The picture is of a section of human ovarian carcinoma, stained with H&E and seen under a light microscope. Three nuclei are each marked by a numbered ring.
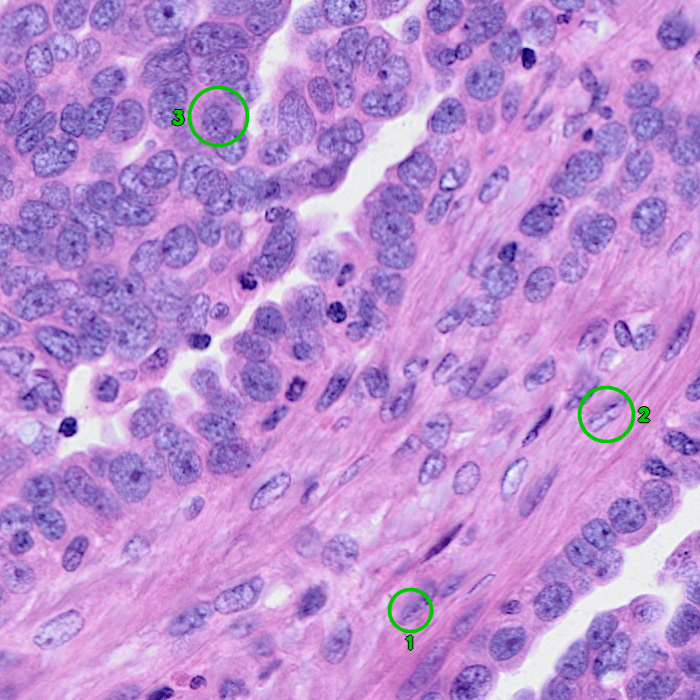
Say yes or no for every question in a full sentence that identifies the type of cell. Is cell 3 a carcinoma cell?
Yes, the marked cell with number 3 is a carcinoma cell.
